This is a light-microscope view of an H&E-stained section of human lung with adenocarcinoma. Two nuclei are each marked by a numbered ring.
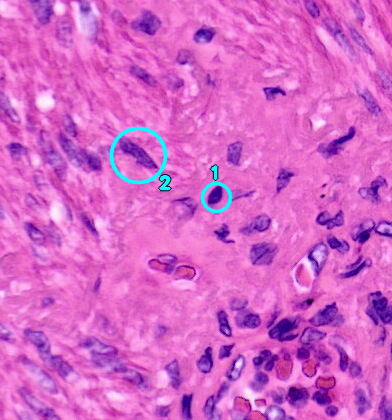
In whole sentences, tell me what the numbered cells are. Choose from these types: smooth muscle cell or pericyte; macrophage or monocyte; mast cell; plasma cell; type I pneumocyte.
Cell 1 is a mast cell. Cell 2 is a smooth muscle cell or pericyte.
